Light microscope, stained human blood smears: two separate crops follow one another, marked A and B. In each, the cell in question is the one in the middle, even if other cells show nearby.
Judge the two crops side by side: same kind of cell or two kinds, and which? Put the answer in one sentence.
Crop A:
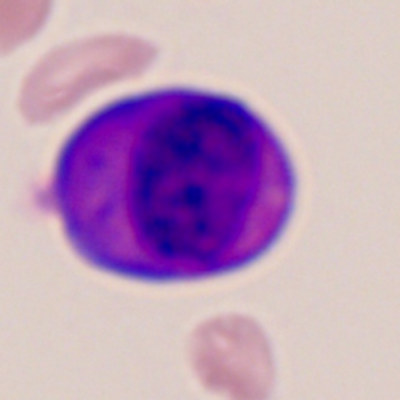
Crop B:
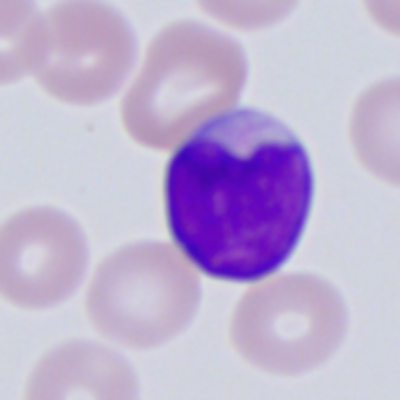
Yes, both crops are centred on cells that are myeloblasts.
